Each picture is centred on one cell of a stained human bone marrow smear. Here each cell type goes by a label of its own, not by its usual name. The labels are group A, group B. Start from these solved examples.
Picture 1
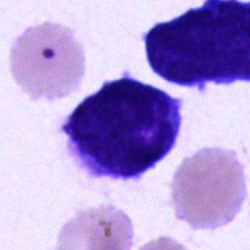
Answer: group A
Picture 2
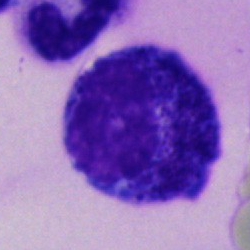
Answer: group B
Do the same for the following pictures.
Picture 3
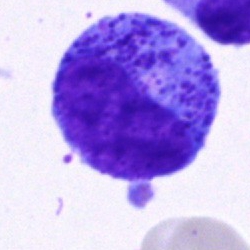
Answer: group B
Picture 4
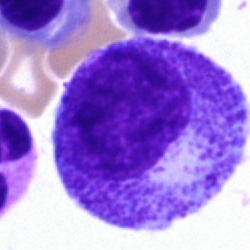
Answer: group B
